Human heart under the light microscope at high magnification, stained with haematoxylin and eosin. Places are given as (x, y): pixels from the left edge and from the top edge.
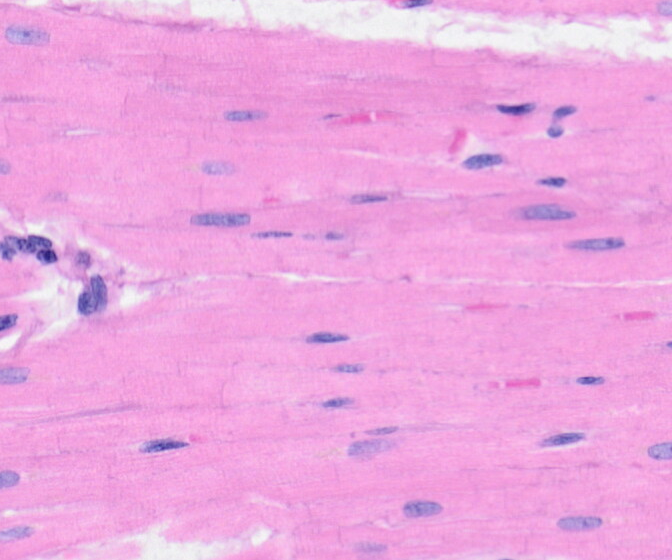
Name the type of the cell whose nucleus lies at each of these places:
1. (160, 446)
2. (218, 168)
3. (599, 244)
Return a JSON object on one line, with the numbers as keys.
{"1": "endothelial cell", "2": "cardiomyocyte", "3": "cardiomyocyte"}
